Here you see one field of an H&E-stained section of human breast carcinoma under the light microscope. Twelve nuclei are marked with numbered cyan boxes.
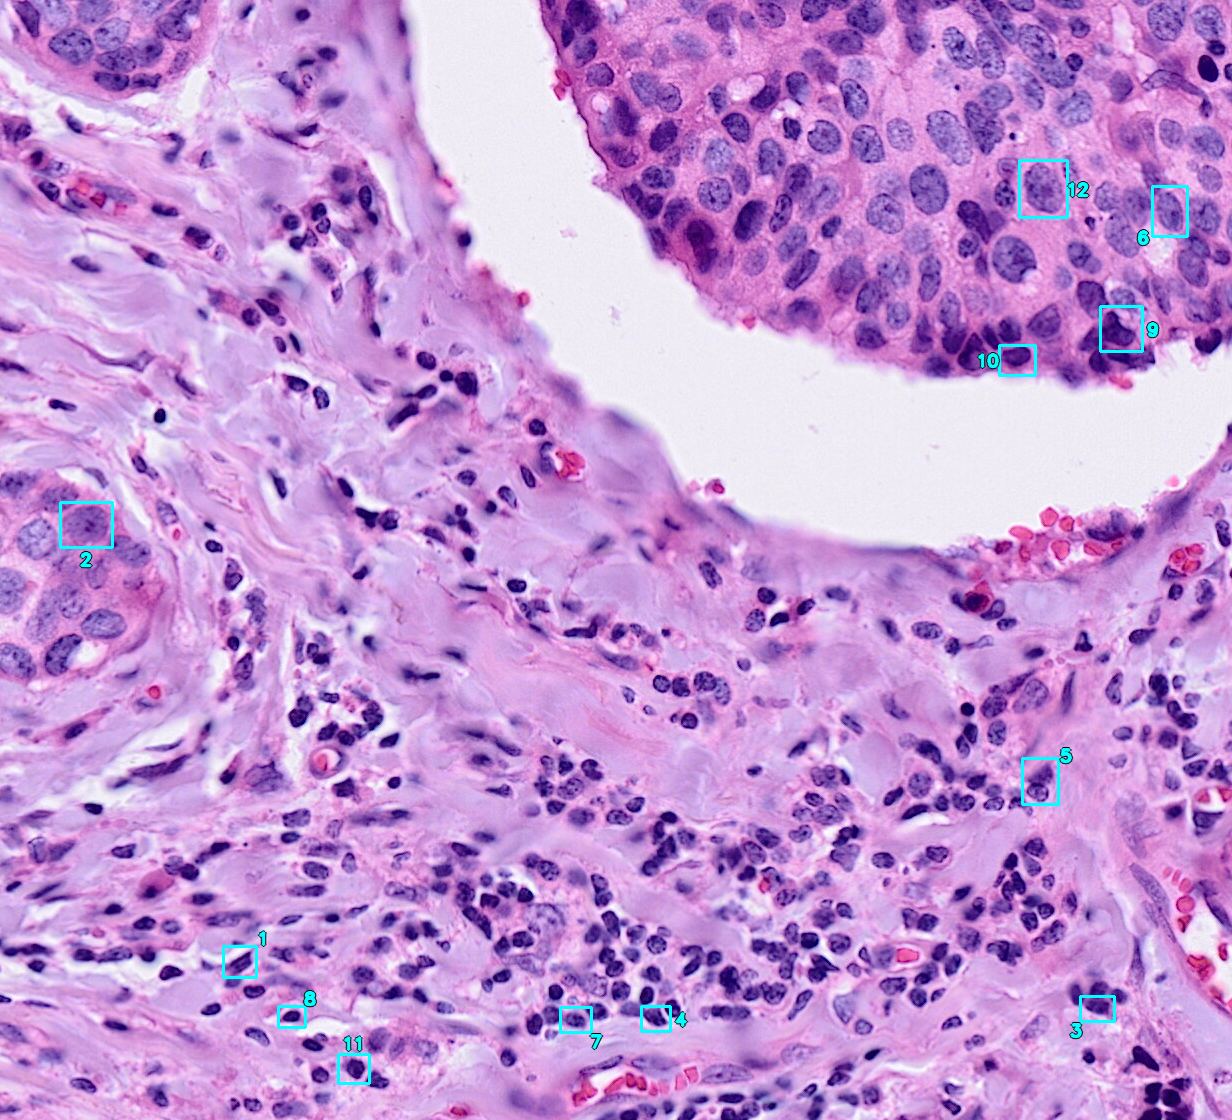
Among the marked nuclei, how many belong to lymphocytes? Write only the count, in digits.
7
